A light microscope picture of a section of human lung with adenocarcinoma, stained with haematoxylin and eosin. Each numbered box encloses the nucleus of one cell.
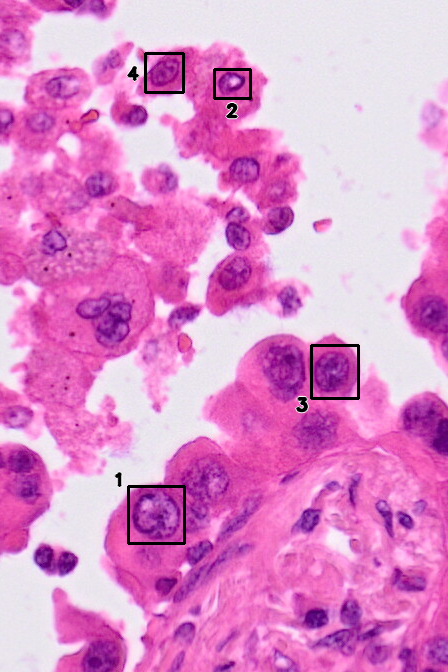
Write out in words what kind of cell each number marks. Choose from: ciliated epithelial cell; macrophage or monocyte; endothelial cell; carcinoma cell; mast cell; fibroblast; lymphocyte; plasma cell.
Cells 1 and 3 are carcinoma cells. Cells 2 and 4 are macrophages or monocytes.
